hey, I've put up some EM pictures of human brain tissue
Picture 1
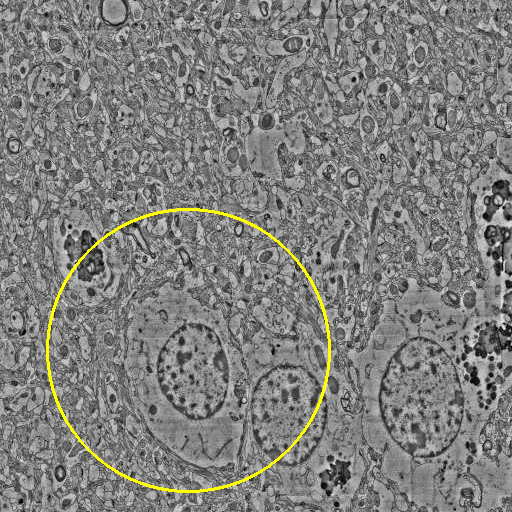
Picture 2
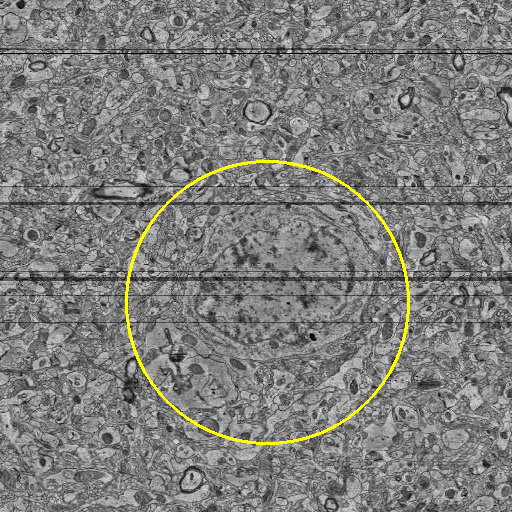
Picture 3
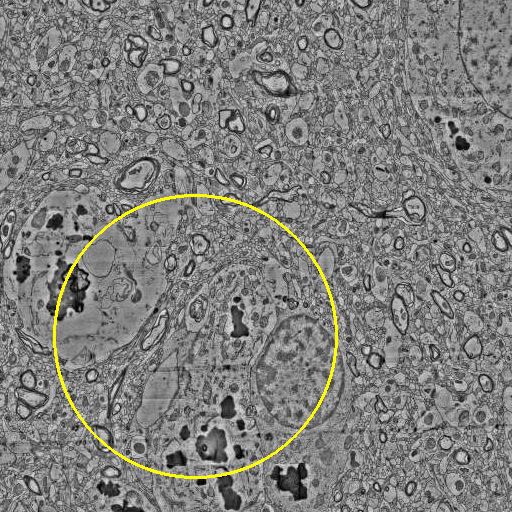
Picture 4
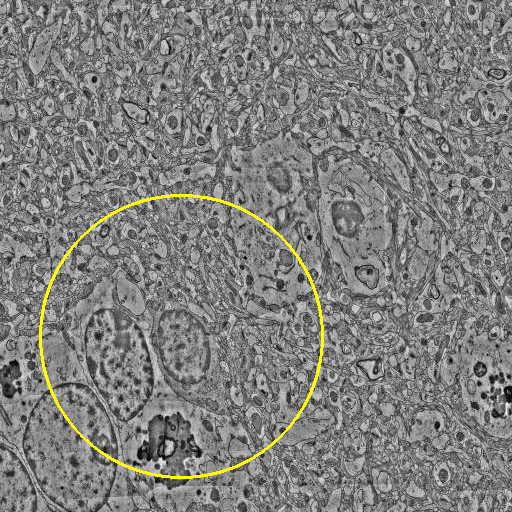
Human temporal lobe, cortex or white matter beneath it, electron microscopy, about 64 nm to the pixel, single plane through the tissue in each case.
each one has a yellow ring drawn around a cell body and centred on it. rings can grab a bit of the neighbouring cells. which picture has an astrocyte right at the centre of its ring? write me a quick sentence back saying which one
It's Picture 1.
